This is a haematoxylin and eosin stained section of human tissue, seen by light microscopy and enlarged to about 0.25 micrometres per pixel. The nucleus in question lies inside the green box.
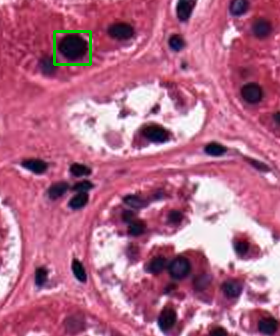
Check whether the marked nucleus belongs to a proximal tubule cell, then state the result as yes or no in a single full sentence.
Yes, it is within a proximal tubule cell that the marked nucleus lies.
